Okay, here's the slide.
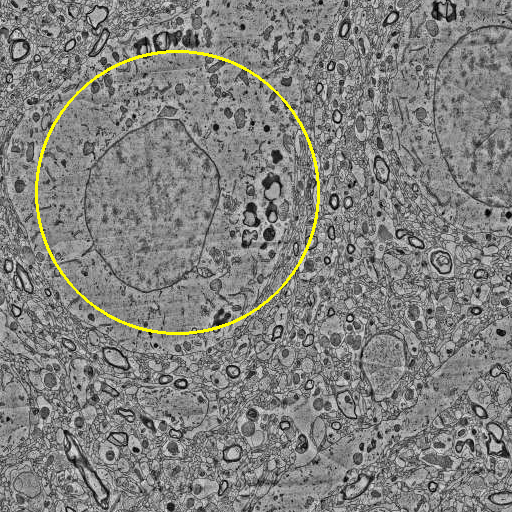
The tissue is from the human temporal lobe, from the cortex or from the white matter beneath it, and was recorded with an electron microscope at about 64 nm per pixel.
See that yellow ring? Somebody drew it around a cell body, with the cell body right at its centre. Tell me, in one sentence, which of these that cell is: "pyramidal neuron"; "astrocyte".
The cell in the middle of the ring is a pyramidal neuron.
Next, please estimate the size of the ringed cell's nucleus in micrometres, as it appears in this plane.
About 11 by 9 micrometres in this plane.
